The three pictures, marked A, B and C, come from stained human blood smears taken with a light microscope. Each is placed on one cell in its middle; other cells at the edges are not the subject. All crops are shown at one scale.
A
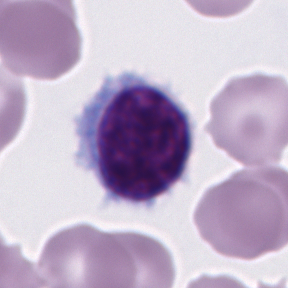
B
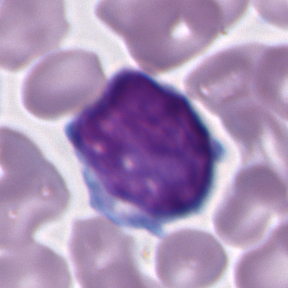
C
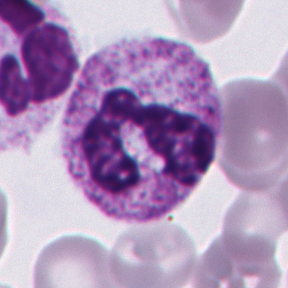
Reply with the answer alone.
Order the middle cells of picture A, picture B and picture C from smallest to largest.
A, B, C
